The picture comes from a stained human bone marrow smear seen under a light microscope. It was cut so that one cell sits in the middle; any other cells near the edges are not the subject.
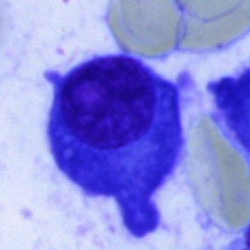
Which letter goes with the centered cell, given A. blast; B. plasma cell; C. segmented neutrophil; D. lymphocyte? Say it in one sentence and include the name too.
What option B states is correct, the central cell being a plasma cell.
